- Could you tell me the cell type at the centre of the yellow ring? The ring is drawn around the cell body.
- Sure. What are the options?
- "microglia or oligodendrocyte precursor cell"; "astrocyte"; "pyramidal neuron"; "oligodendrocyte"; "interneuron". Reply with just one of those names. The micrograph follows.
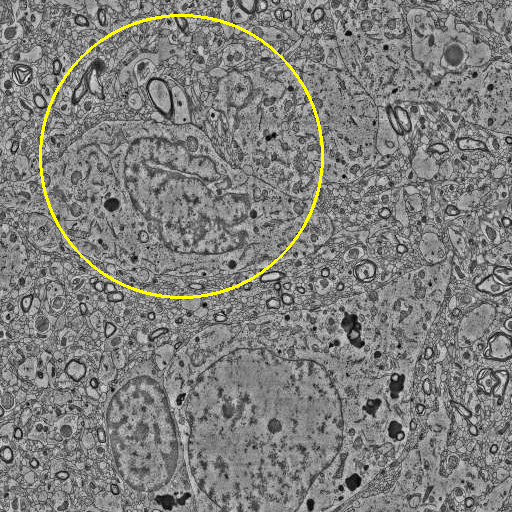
interneuron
